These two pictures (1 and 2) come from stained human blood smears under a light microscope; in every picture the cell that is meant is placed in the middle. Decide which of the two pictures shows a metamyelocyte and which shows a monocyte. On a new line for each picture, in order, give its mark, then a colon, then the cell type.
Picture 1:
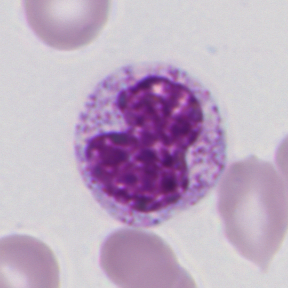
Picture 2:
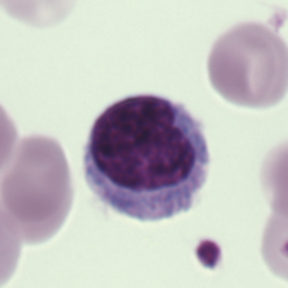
1: metamyelocyte
2: monocyte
